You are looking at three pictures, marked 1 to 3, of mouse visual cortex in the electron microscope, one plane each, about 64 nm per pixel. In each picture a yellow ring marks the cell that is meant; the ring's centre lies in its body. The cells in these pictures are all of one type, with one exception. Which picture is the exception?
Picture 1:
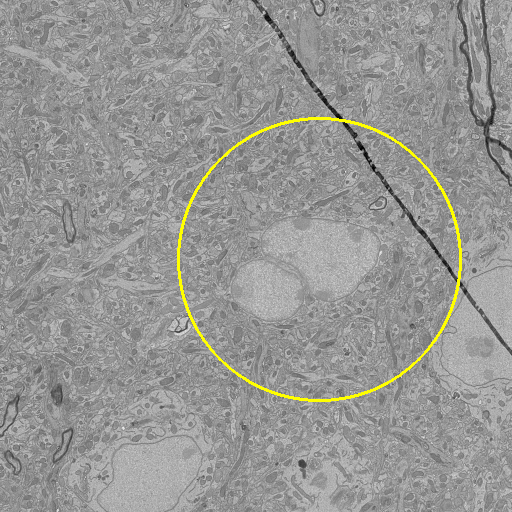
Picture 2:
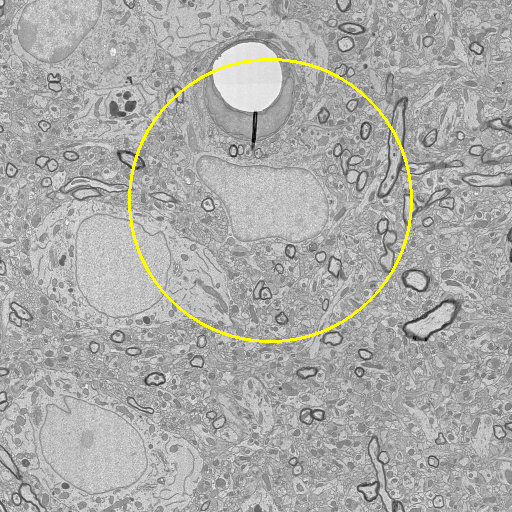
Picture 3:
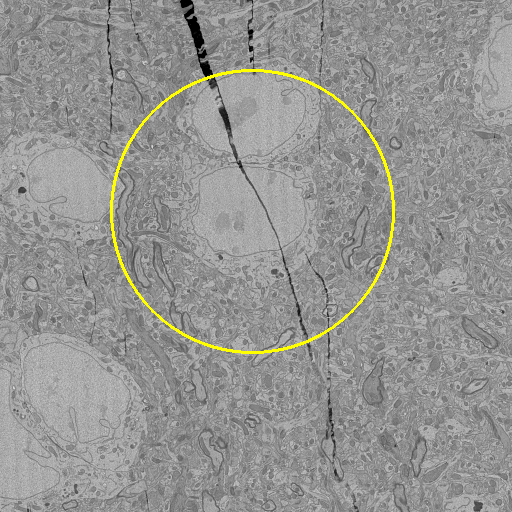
All pictures except 3 show astrocytes; picture 3 shows an excitatory neuron.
